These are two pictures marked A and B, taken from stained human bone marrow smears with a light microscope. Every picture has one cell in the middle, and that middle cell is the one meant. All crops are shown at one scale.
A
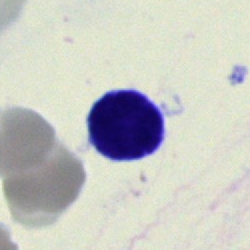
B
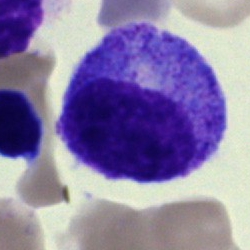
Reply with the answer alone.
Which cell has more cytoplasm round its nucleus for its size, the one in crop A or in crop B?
B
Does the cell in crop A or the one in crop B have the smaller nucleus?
A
